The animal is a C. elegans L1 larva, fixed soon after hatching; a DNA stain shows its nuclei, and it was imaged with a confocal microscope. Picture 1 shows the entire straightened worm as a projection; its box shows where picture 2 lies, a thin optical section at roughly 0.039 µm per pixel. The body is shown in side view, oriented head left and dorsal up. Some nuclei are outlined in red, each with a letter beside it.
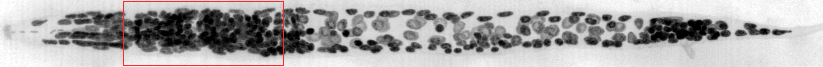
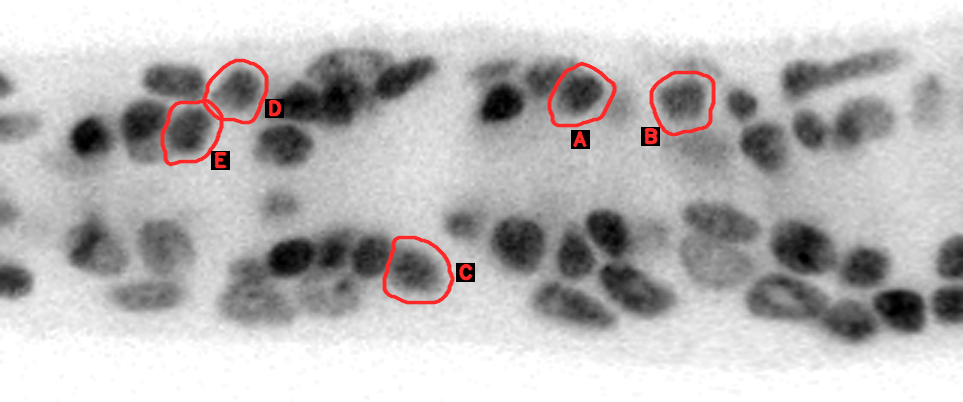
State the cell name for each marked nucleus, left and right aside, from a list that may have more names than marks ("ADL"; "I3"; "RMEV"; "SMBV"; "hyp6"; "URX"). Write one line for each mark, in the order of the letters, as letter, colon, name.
A: URX
B: ADL
C: RMEV
D: hyp6
E: I3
